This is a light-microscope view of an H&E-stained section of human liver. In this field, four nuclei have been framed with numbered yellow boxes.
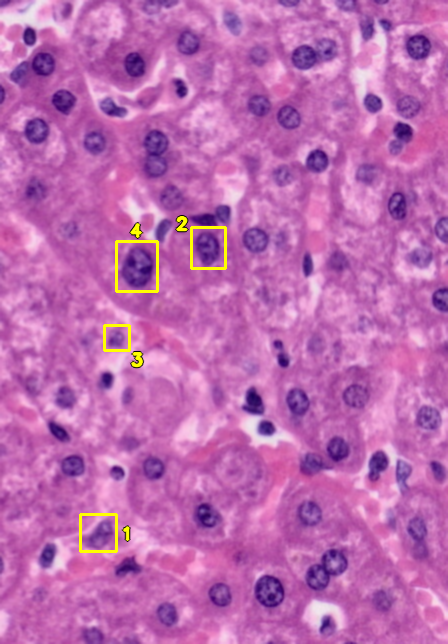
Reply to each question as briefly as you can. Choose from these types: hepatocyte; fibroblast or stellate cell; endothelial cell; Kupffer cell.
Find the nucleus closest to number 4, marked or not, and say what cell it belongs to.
endothelial cell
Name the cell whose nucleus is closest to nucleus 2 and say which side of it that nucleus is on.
a fibroblast or stellate cell; above nucleus 2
